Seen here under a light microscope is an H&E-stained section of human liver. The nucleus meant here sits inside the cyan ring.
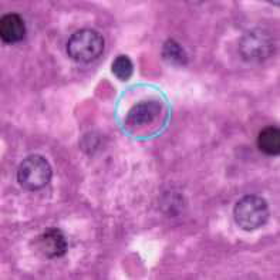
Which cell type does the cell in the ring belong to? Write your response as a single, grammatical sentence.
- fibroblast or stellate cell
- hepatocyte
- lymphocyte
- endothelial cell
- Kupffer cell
Just put down that the cell in the ring is an endothelial cell.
